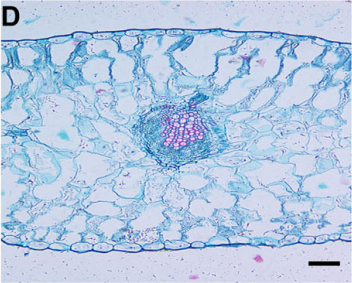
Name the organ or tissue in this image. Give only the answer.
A: Leaf.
